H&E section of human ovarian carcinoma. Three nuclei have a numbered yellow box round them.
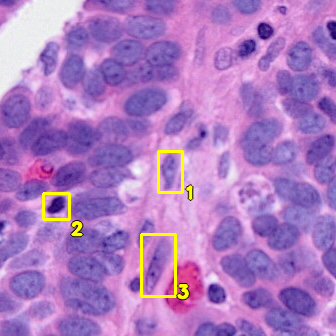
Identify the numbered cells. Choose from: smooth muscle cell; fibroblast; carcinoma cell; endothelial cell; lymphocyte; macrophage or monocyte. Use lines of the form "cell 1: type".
cell 1: fibroblast
cell 2: lymphocyte
cell 3: endothelial cell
